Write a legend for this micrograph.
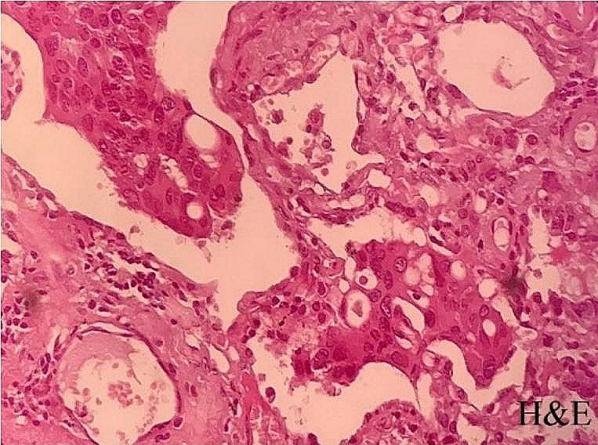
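Solid nests of plump epithelioid tumor cells with abundant pink cytoplasm and rounded nuclei lie among looser stroma and wide clear spaces. Many cells contain round clear vacuoles within their cytoplasm, some holding a few small pale bodies, forming intracytoplasmic lumina.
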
